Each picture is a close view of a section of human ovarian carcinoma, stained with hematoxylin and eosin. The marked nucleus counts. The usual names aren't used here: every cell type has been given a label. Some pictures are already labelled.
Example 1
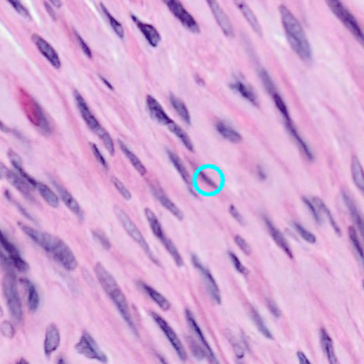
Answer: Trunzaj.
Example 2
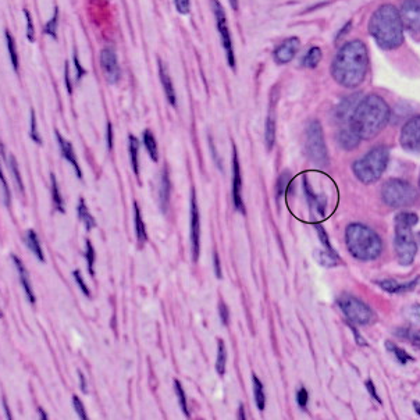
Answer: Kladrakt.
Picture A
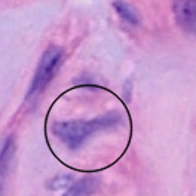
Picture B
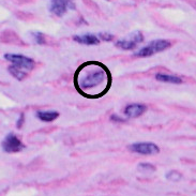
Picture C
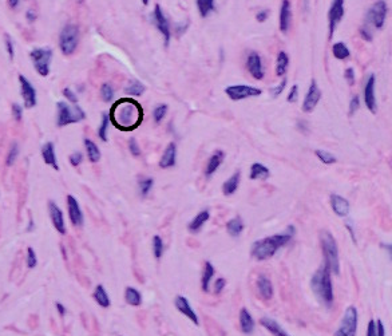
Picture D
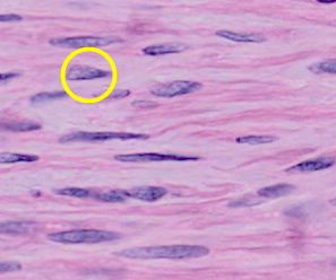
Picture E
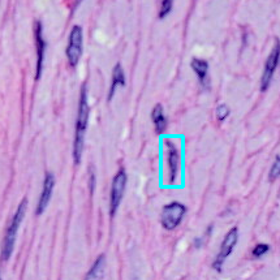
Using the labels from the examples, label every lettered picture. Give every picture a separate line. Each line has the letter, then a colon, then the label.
A: Trunzaj.
B: Kladrakt.
C: Trunzaj.
D: Trunzaj.
E: Kladrakt.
